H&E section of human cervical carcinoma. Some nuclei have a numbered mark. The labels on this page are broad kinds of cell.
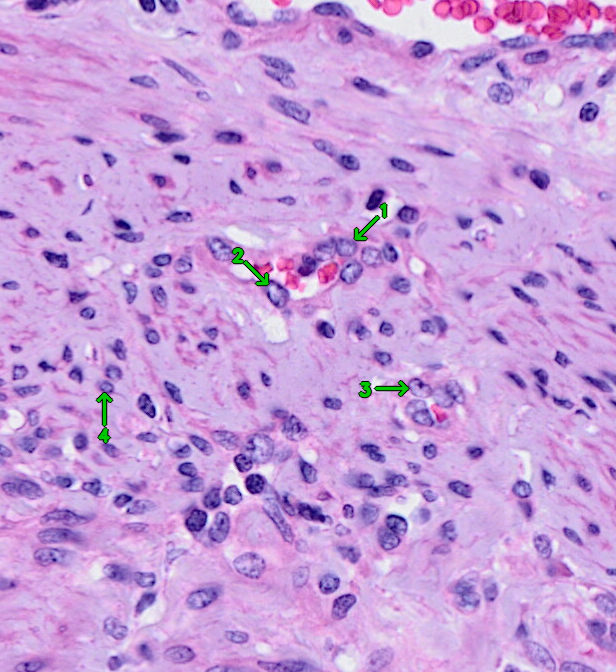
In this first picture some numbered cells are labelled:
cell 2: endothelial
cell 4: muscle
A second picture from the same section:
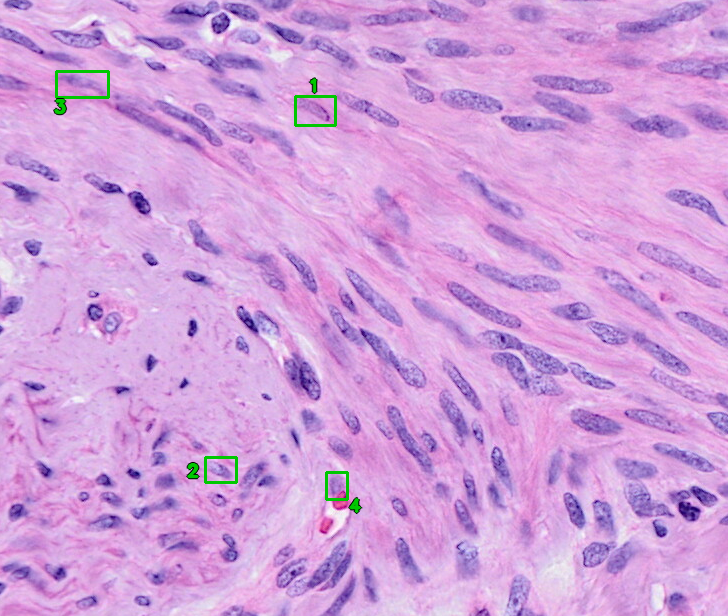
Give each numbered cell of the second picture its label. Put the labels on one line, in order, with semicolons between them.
muscle; muscle; muscle; endothelial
